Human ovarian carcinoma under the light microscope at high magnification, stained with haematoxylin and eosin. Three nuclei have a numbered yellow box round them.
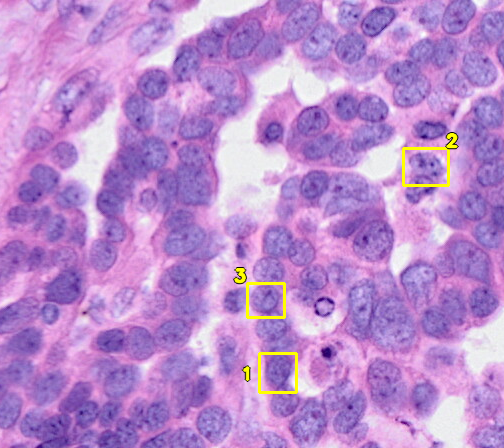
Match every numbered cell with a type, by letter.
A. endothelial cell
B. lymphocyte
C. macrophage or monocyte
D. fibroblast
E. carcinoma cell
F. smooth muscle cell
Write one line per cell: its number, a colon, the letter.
1: E
2: C
3: E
